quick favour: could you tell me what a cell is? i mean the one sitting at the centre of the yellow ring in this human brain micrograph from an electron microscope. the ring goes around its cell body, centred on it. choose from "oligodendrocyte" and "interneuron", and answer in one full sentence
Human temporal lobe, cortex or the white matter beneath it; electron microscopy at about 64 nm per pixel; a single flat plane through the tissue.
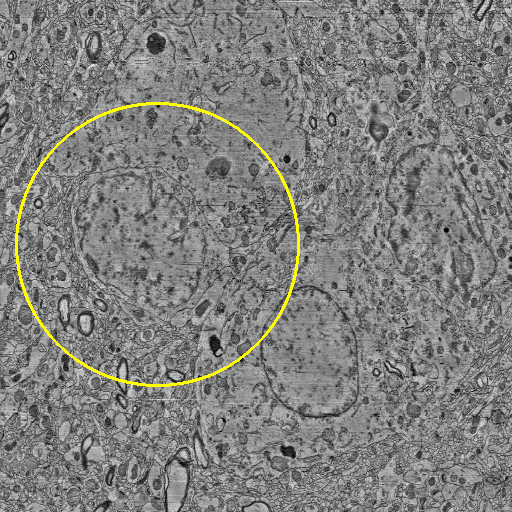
That's an interneuron, the cell sitting at the centre of the yellow ring.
